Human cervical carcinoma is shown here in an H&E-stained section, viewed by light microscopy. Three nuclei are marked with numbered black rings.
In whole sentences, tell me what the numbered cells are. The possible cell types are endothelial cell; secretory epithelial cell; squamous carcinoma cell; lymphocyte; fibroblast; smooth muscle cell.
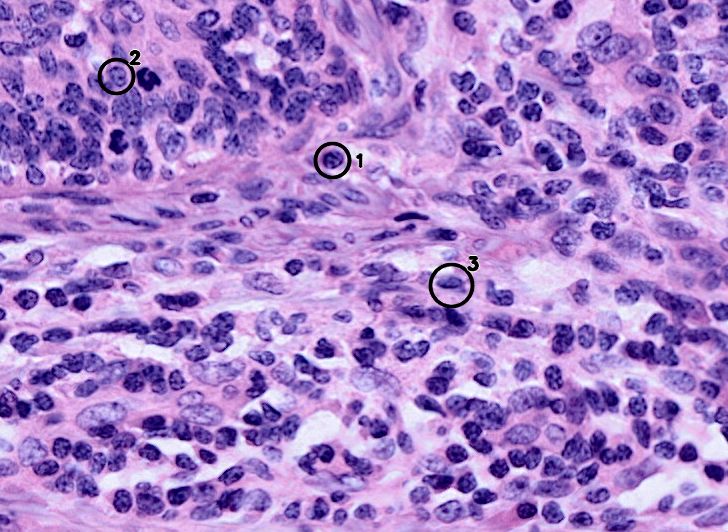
Cell 1 is a lymphocyte, cell 2 is a squamous carcinoma cell and cell 3 is a lymphocyte.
